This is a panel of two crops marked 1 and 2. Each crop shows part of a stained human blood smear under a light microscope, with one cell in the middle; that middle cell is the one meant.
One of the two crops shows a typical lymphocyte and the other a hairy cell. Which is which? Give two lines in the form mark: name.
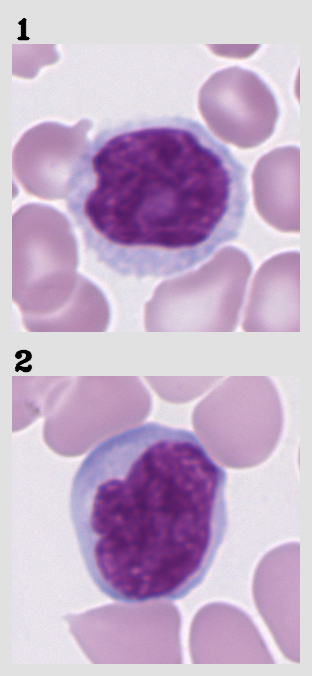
1: hairy cell
2: typical lymphocyte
